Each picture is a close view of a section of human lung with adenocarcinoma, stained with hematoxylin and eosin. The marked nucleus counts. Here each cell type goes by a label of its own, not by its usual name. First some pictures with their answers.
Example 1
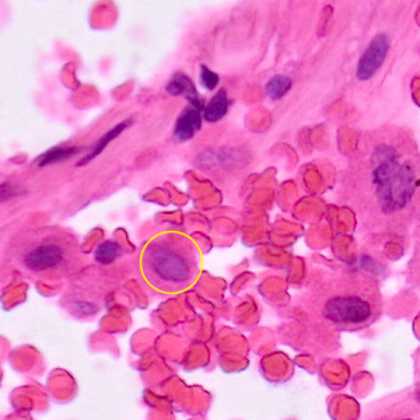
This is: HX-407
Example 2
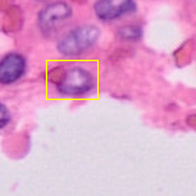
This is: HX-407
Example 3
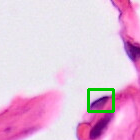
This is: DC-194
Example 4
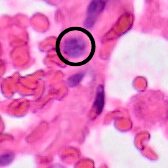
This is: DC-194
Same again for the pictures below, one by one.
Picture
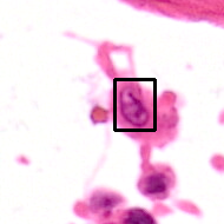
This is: HX-407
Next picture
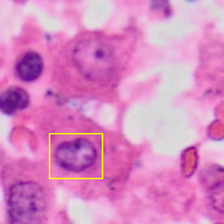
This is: HX-407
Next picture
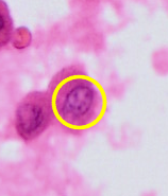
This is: HX-407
